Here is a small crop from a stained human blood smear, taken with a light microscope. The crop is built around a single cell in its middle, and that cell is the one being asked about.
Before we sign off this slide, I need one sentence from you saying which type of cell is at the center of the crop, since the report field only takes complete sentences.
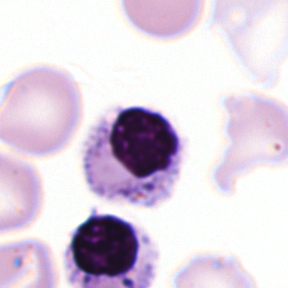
At the crop's centre, the cell is a normoblast.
